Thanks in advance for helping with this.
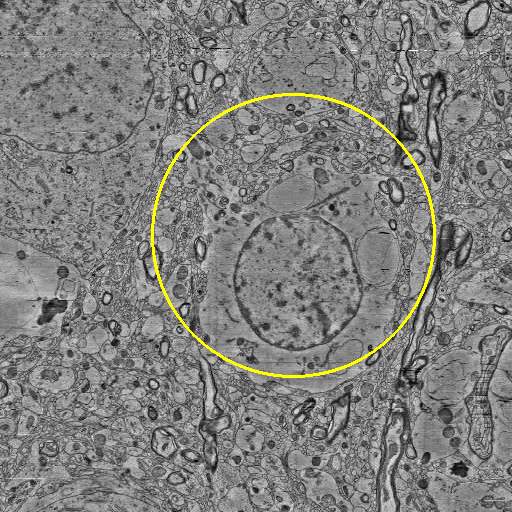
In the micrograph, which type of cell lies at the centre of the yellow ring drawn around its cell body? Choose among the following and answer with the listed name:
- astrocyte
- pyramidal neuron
astrocyte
